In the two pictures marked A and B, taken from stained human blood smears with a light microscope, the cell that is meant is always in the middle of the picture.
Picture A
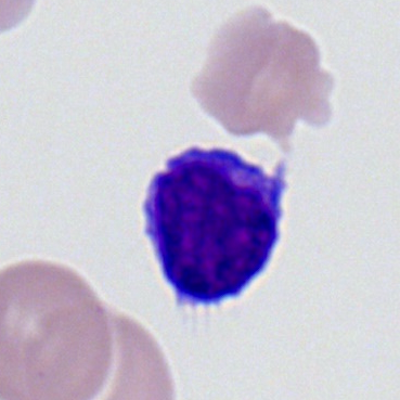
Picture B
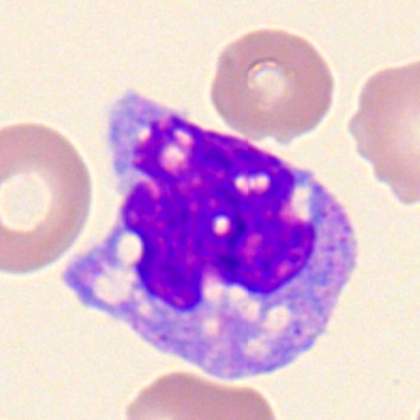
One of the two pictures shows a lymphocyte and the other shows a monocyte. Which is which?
A: lymphocyte
B: monocyte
